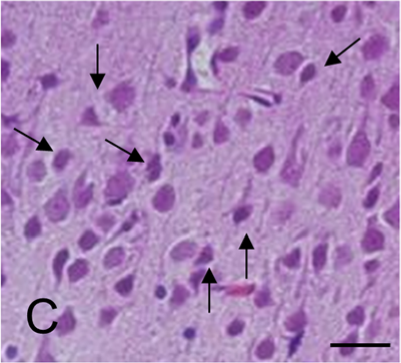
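Cerebral cortex with scattered neurons whose cell bodies stain purple against a smooth pale pink fibrillar background. Many of the neuronal cell bodies are triangular, tapering into a single process, while a few smaller, darker nuclei lie between them. A small vessel containing red-stained blood cells runs through the lower part of the field.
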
